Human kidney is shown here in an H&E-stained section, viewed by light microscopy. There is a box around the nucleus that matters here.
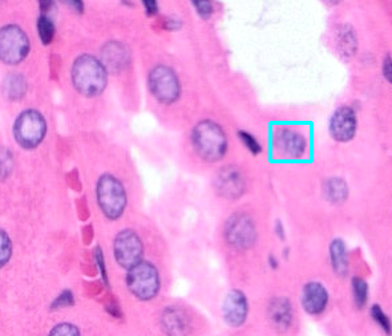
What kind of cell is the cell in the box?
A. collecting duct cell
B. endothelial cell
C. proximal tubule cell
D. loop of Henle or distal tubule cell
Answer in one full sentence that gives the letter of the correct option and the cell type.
Option D correctly identifies the cell in the box as a loop of Henle or distal tubule cell.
